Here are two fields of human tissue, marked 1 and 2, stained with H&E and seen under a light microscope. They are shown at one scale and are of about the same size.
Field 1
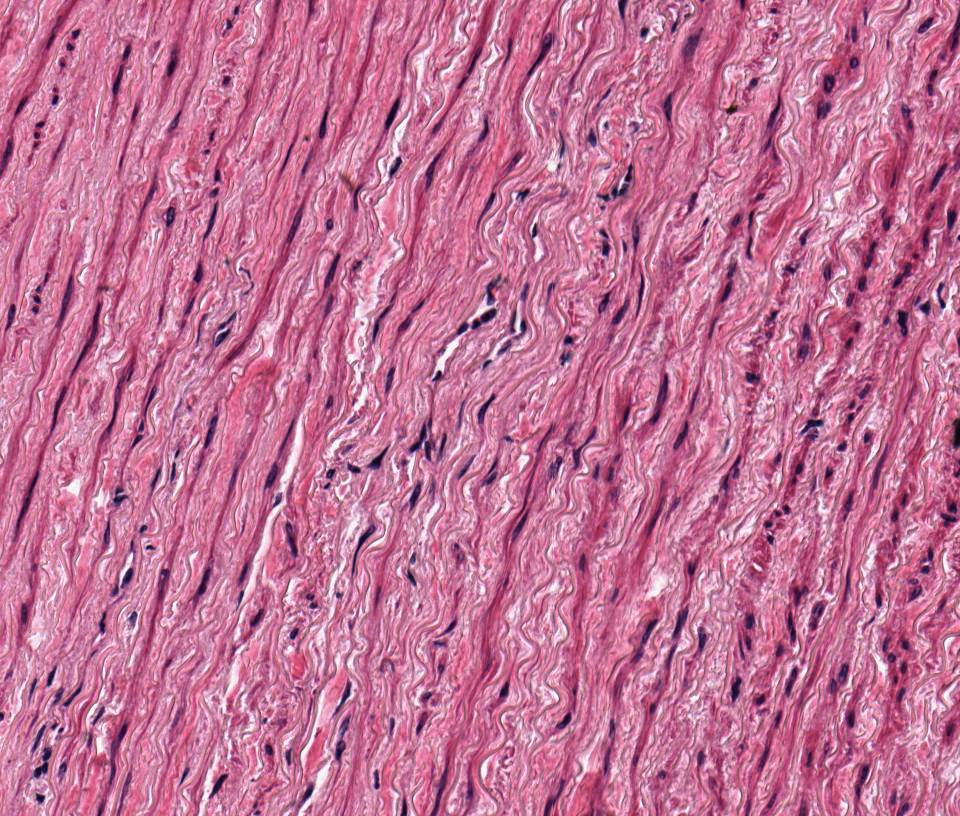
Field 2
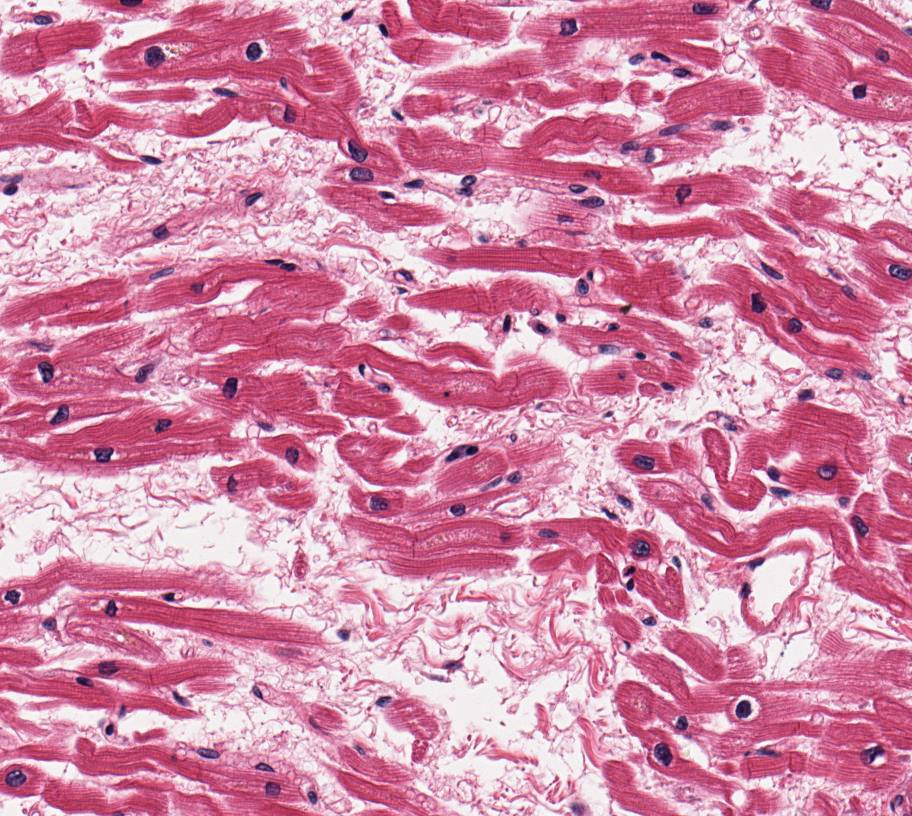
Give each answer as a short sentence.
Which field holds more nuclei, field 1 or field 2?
Field 1 holds more nuclei than field 2.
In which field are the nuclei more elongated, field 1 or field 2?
It is field 1 whose nuclei are the more elongated.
